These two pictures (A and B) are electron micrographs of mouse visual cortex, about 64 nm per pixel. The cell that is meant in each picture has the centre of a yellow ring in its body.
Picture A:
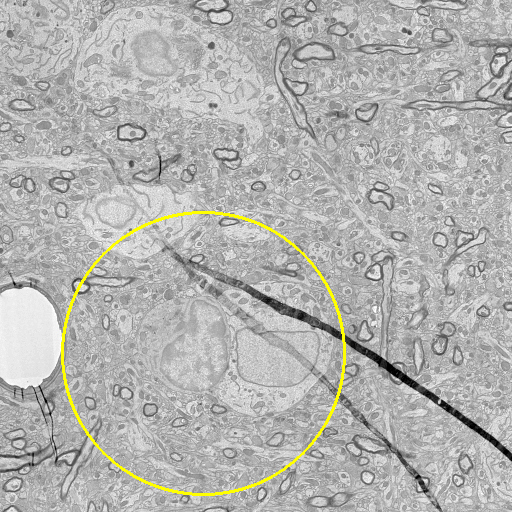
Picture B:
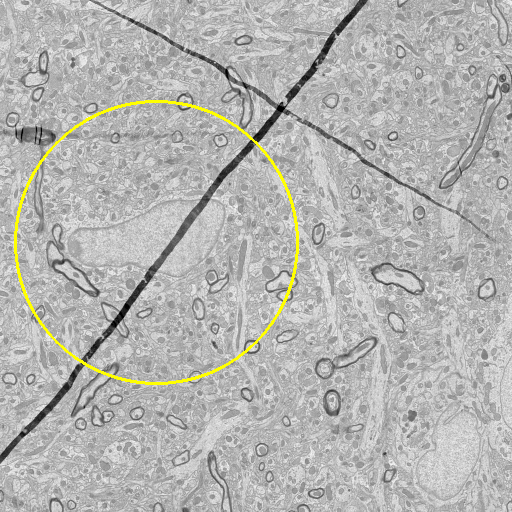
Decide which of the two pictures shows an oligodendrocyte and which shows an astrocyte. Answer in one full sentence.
The cell in picture A is an oligodendrocyte, and the one in picture B is an astrocyte.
